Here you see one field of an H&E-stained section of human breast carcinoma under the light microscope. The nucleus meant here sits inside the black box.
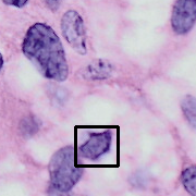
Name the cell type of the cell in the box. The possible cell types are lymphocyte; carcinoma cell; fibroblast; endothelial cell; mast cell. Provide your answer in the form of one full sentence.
In this tissue section, the cell in the box is to be classed as a carcinoma cell.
